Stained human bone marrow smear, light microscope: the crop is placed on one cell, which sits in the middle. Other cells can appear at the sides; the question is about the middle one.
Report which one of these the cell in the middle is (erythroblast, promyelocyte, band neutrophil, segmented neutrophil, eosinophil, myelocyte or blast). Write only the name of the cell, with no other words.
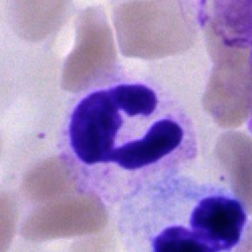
segmented neutrophil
